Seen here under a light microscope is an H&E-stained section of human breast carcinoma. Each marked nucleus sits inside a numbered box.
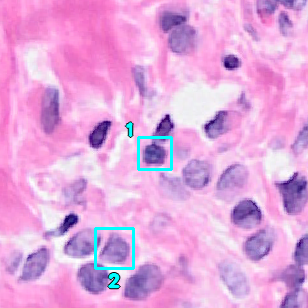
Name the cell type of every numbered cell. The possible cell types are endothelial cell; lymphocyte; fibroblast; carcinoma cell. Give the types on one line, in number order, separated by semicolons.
lymphocyte; carcinoma cell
